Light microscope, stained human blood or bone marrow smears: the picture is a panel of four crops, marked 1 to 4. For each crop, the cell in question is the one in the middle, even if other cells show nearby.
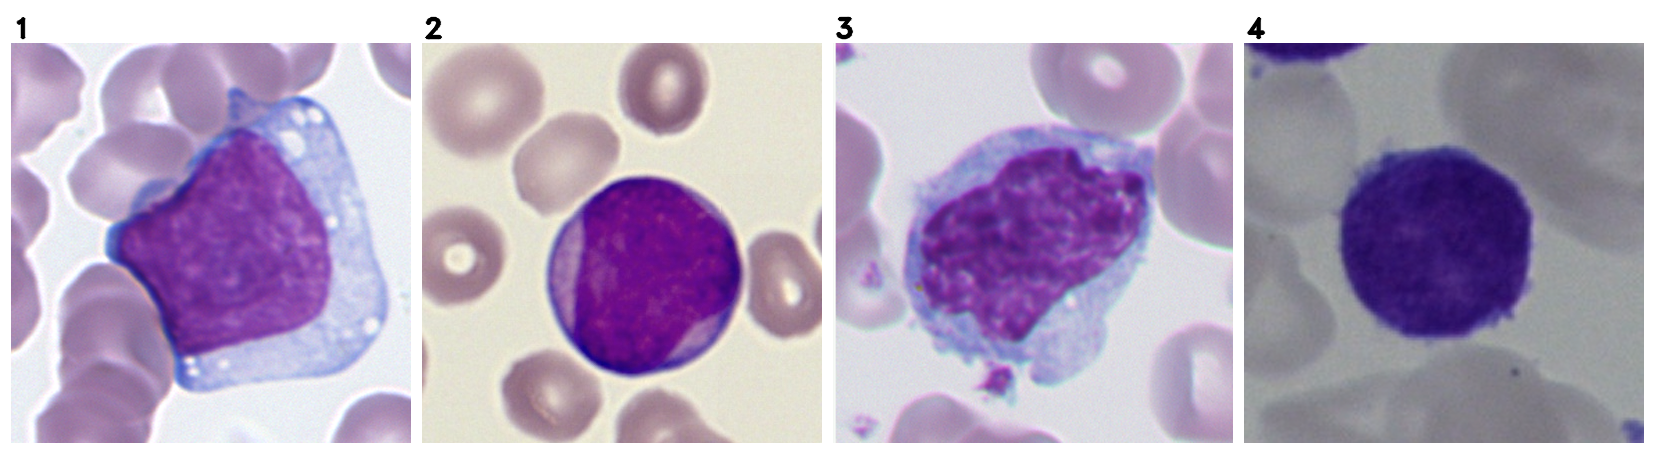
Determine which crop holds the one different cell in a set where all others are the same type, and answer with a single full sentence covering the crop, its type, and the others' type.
Excluding crop 3, which is a monocyte, the crops all show blasts.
